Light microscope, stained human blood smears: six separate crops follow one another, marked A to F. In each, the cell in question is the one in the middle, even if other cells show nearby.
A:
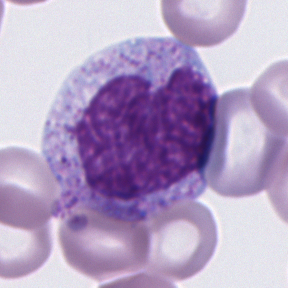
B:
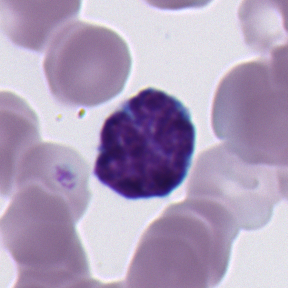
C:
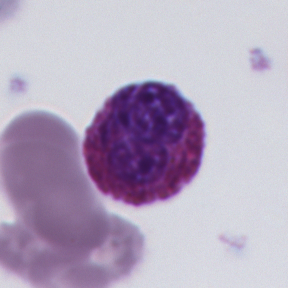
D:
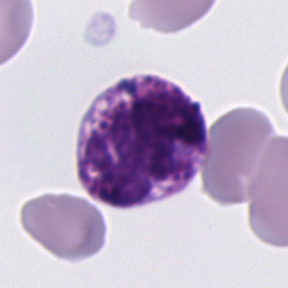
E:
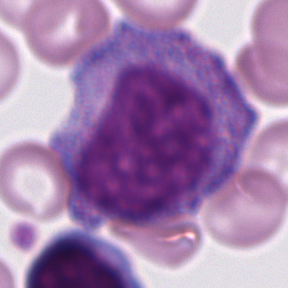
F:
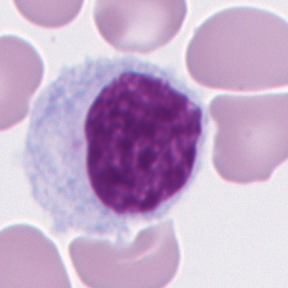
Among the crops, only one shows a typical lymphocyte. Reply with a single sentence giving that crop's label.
In this series, a typical lymphocyte is shown by crop B.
